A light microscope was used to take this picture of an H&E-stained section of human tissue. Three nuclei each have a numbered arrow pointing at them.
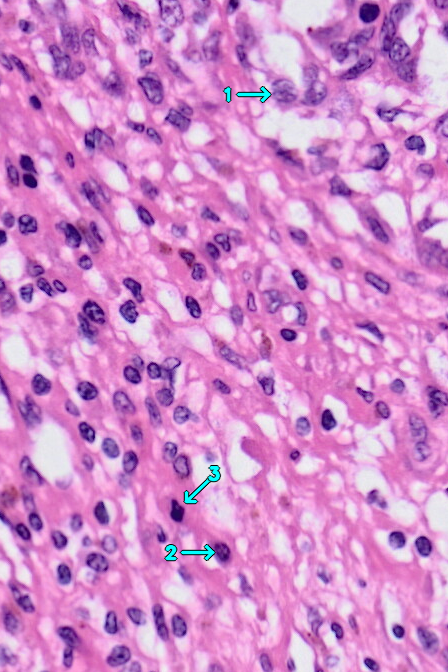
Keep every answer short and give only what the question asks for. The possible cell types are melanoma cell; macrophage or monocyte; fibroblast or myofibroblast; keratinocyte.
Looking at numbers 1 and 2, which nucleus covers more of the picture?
1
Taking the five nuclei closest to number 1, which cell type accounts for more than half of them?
melanoma cell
